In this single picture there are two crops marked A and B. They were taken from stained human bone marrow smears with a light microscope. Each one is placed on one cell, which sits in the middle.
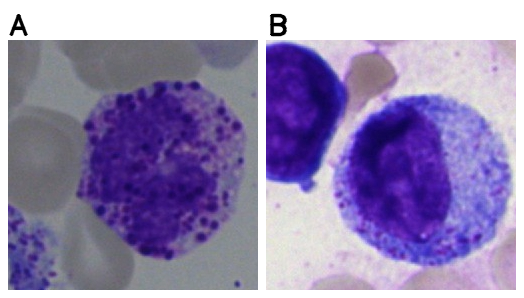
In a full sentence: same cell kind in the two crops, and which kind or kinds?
No, crop A carries a basophil and crop B carries a promyelocyte.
